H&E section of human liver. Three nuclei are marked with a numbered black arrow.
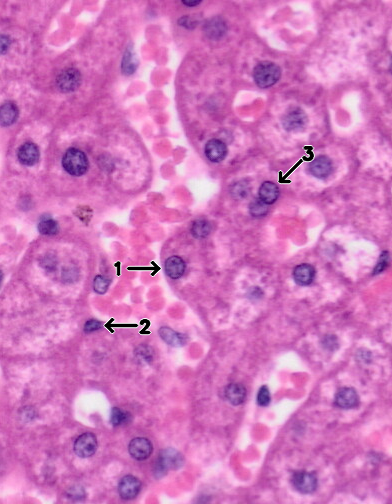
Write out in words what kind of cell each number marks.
Cells 1 and 3 are hepatocytes. Cell 2 is a fibroblast or stellate cell.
